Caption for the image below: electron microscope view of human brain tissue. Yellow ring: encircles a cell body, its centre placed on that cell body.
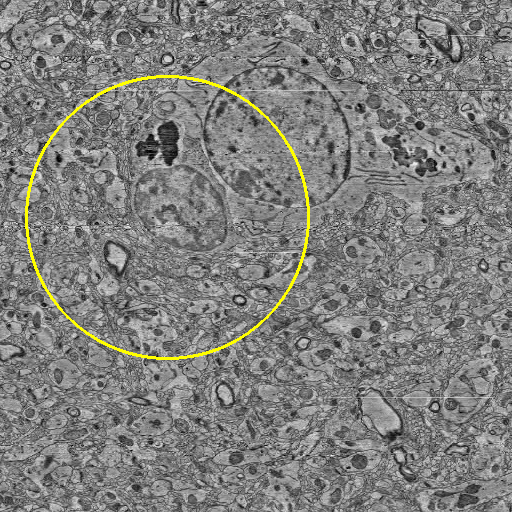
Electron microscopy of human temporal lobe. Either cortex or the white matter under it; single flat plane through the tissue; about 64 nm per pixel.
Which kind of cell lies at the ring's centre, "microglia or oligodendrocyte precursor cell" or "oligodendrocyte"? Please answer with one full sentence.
The picture shows an oligodendrocyte at the centre of the yellow ring.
